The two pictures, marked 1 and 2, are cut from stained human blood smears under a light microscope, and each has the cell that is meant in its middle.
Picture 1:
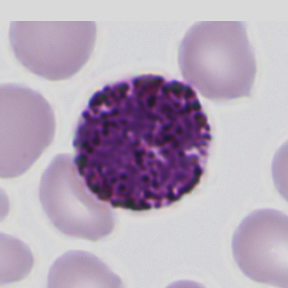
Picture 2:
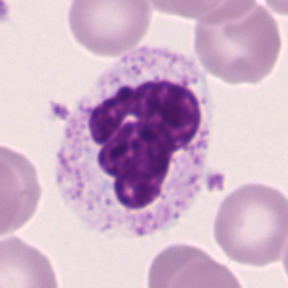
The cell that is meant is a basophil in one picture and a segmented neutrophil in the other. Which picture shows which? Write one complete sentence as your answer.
The cell in picture 1 is a basophil, and the one in picture 2 is a segmented neutrophil.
